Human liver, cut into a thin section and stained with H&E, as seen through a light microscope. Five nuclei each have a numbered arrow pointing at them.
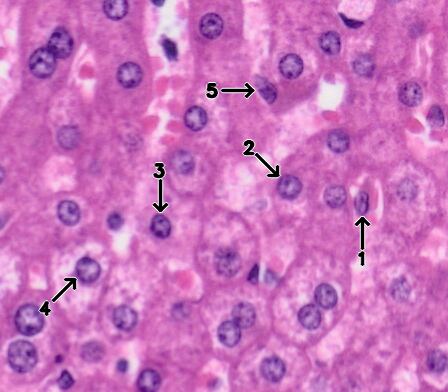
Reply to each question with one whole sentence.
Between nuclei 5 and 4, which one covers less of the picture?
Nucleus 5 is the smaller one; nucleus 4 covers about 1.5 times its area.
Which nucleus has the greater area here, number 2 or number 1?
Nucleus 2 is larger, with an area about 1.5 times that of nucleus 1.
